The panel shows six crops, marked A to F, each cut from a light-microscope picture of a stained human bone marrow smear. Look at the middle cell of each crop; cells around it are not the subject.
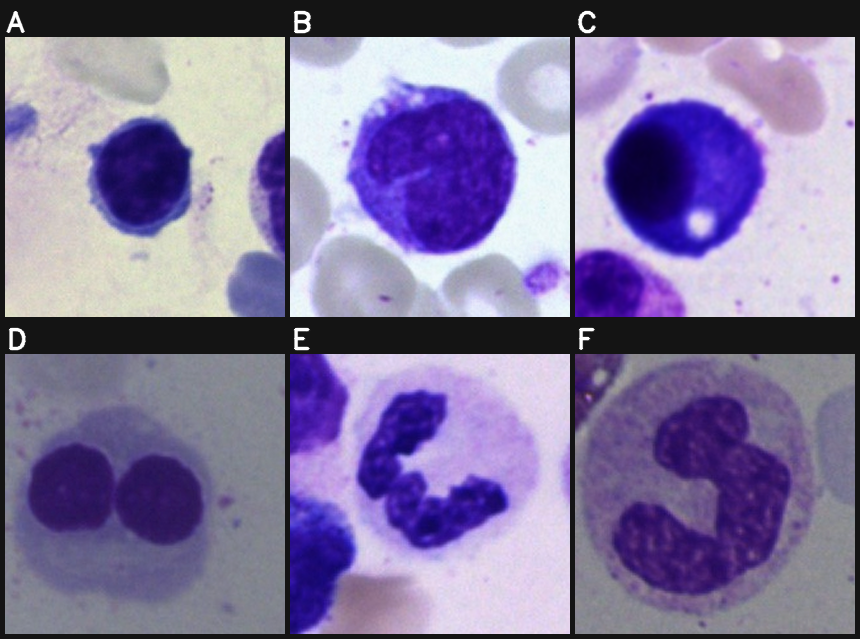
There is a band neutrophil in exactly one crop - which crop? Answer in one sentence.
As for which crop shows a band neutrophil, it is crop F.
